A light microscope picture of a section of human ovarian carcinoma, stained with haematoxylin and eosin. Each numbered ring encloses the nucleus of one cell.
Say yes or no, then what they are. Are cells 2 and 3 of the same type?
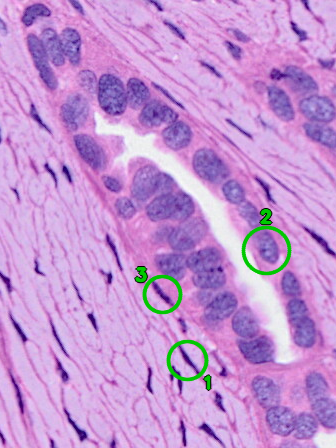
No, cell 3 is a fibroblast, while cell 2 is a carcinoma cell.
